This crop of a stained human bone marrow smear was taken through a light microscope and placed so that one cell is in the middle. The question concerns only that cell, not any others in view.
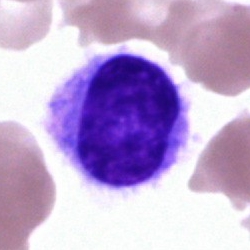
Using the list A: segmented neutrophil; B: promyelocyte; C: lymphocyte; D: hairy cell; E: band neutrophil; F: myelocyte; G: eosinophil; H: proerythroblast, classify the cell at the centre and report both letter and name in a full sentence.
The right choice is option D: the cell in the middle is a hairy cell.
